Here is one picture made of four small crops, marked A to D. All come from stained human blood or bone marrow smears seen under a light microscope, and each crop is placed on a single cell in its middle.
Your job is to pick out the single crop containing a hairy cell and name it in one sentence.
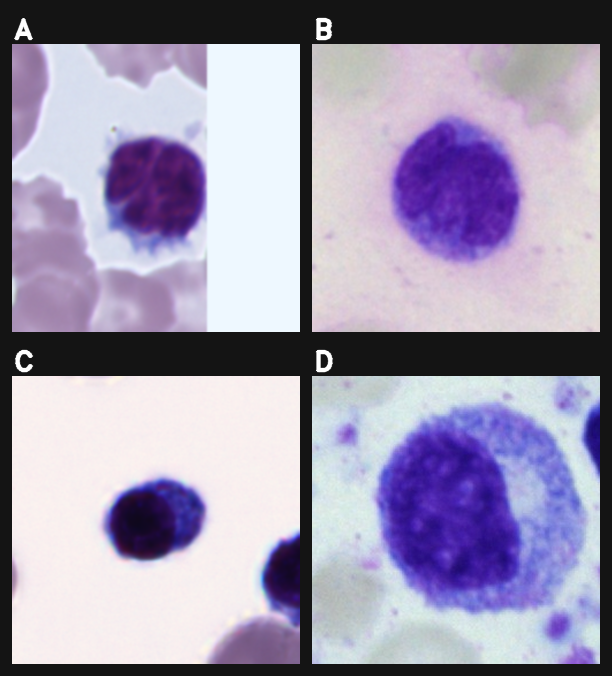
Of these crops, it is crop A that shows a hairy cell.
